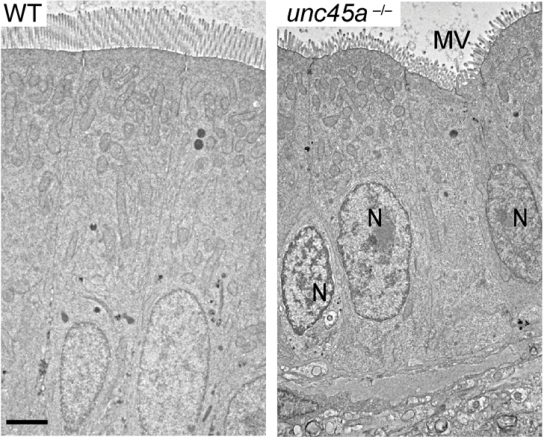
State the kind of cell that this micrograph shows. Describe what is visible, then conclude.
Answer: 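Tall columnar epithelial cells with a brush of projections at the apical surface. Elongated nuclei lie in the lower part of the cells.
Conclusion: enterocytes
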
